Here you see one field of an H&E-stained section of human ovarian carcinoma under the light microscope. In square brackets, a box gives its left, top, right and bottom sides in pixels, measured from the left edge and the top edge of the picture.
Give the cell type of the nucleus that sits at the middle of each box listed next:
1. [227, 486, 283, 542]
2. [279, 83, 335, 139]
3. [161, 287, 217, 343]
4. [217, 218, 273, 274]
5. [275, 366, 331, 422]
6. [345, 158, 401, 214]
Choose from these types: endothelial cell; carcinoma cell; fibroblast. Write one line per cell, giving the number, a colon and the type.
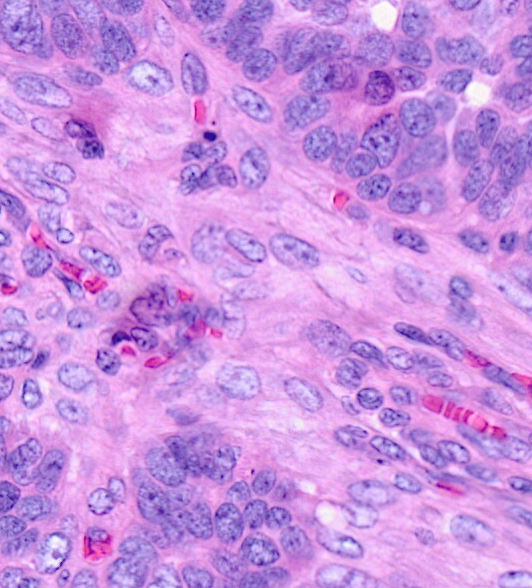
1: carcinoma cell
2: carcinoma cell
3: endothelial cell
4: fibroblast
5: fibroblast
6: carcinoma cell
